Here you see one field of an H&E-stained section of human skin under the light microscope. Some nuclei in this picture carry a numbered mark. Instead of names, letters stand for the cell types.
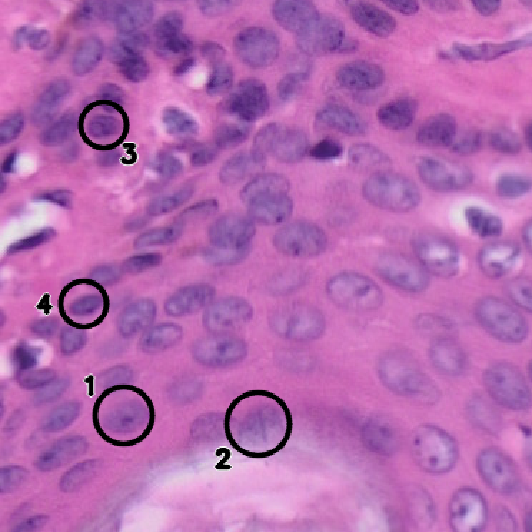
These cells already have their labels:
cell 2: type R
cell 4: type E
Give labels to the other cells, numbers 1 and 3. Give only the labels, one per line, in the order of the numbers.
type R
type E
